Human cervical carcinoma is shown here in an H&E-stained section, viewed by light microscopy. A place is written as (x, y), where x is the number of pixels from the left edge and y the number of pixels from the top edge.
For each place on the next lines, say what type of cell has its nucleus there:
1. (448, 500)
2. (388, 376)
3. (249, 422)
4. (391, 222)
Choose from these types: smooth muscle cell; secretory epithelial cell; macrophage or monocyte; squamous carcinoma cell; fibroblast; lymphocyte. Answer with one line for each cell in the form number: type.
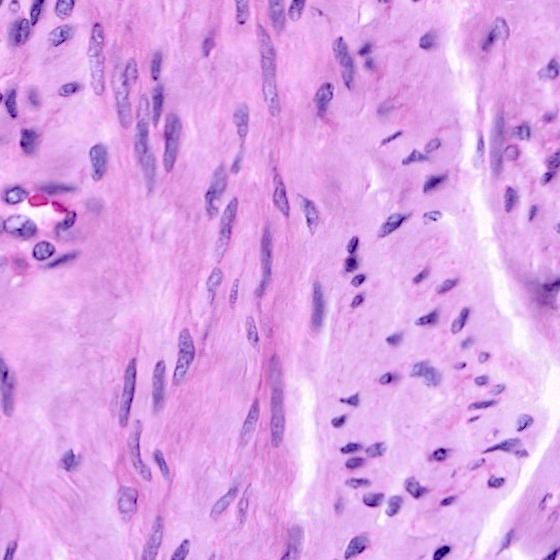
1: smooth muscle cell
2: smooth muscle cell
3: smooth muscle cell
4: fibroblast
